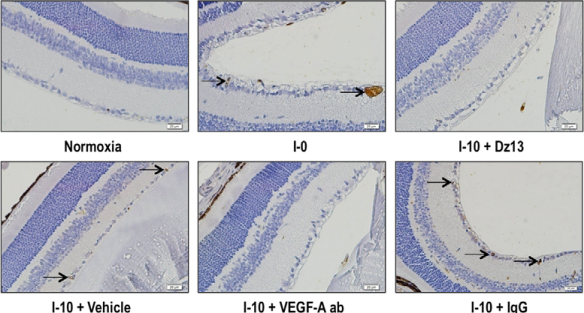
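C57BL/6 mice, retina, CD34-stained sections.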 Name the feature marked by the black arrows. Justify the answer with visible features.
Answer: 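Blood vessels. The arrows point to brown-stained profiles at the inner edge of the retina. The brown profiles lie against the surface facing the empty vitreal space.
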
